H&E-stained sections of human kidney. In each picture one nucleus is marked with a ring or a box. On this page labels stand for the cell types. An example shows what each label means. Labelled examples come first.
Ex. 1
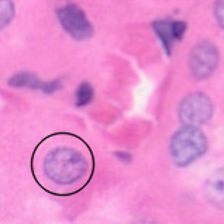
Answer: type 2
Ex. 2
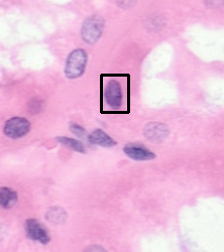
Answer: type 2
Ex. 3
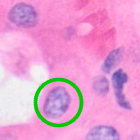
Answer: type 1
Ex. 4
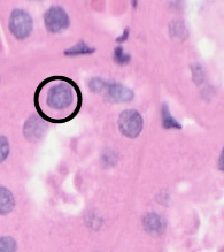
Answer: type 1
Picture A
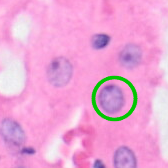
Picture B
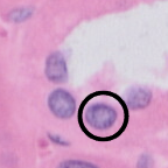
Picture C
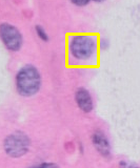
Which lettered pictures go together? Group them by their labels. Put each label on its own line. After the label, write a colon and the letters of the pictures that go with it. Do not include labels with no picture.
type 2: A
type 1: B, C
